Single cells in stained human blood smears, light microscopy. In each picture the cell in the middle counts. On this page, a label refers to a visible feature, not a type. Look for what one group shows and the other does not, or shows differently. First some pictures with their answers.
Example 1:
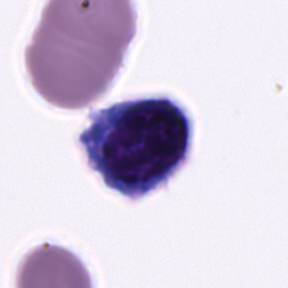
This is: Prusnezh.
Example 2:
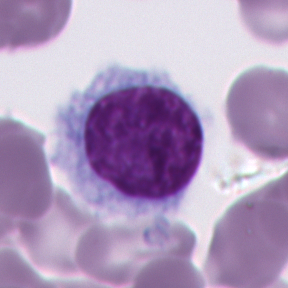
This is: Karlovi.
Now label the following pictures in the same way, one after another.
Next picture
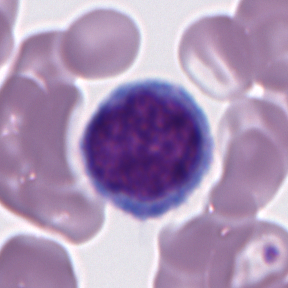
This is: Prusnezh.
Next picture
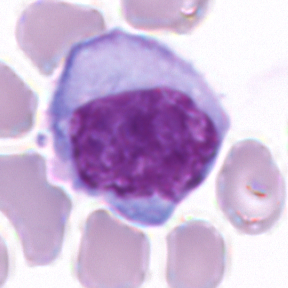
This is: Karlovi.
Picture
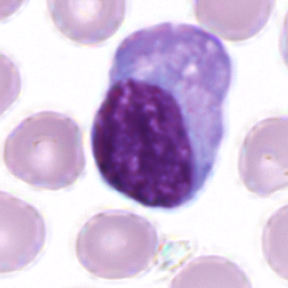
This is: Karlovi.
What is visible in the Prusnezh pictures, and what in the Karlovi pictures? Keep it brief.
In Prusnezh: scant cytoplasm. In Karlovi: abundant cytoplasm.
